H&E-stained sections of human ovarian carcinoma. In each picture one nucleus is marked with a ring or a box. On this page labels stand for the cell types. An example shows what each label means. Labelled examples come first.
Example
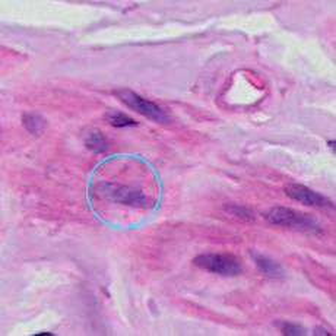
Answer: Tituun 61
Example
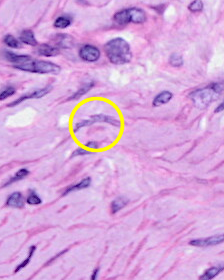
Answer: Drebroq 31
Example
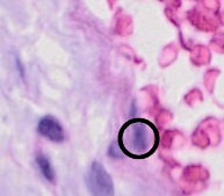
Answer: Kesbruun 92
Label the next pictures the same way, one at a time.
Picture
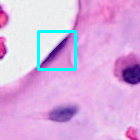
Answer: Kesbruun 92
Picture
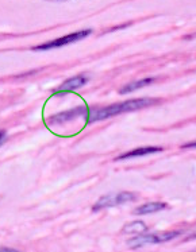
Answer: Drebroq 31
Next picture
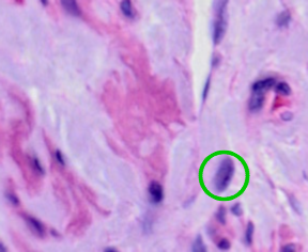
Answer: Drebroq 31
